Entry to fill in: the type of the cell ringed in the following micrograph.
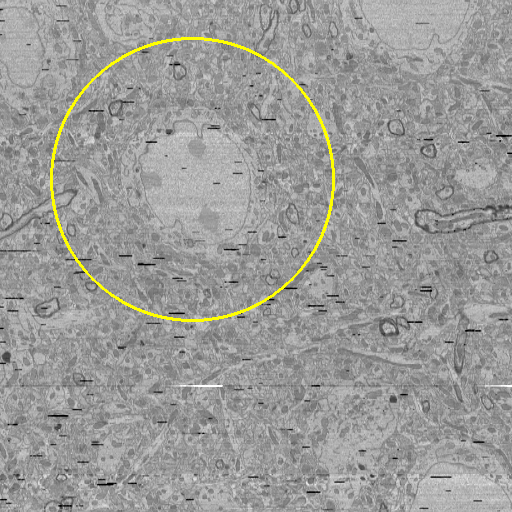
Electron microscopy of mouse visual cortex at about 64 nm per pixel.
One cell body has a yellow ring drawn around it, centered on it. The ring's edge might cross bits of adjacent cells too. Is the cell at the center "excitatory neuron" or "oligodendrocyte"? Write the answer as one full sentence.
This entry names an excitatory neuron as the cell whose body lies at the ring's center.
